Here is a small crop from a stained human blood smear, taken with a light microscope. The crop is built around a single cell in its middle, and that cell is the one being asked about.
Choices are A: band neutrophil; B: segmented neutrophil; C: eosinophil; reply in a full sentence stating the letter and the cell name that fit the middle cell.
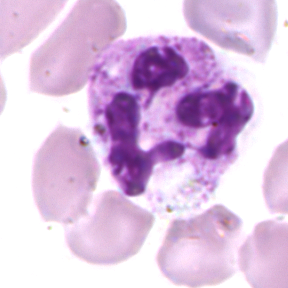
Option B correctly states that the central cell is a segmented neutrophil.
